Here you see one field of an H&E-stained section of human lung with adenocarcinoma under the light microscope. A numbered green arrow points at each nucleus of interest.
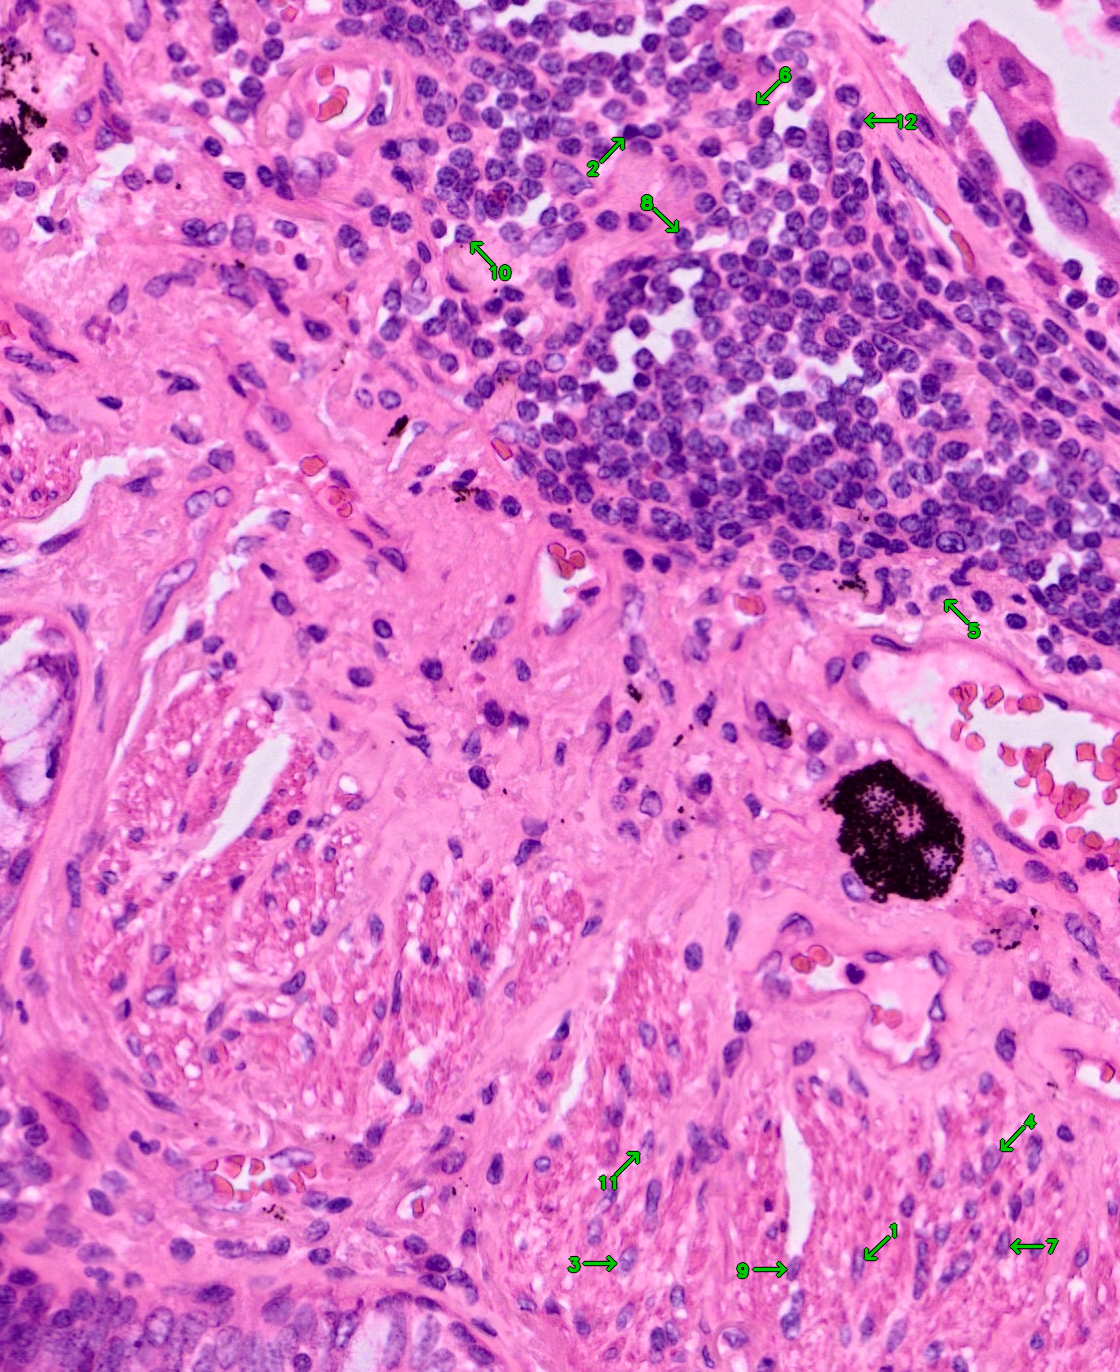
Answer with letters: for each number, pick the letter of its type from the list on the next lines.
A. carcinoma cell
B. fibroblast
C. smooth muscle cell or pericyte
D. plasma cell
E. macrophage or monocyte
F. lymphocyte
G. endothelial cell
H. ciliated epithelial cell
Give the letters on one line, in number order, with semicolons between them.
C; F; C; C; F; F; C; F; C; F; C; F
